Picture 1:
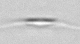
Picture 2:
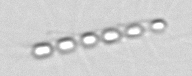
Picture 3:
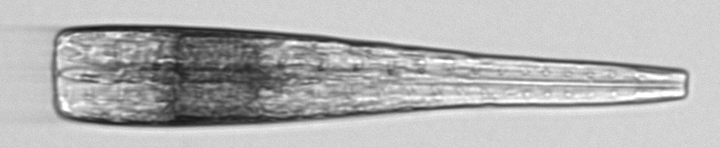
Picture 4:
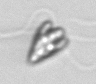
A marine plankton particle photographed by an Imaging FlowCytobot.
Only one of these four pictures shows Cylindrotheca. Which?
Picture 1.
